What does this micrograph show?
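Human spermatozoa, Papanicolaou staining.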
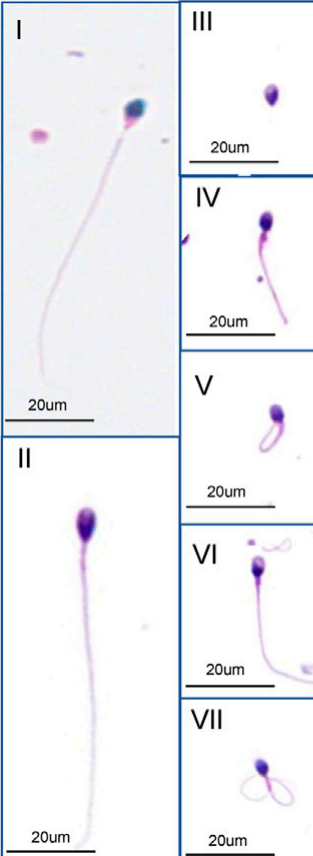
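The heads are oval, dense and stained deep purple, and in one cell the head carries a blue-green tinted cap region. In the two tall images the tails are long, thin and pale pink to violet, running straight away from the head. In the smaller images the tails are abnormal: one cell has almost no tail, another a short tail, and others have tails that curl back into loops beside the head or bend sharply along their course. The tail outline in some looped cells looks uneven in thickness.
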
